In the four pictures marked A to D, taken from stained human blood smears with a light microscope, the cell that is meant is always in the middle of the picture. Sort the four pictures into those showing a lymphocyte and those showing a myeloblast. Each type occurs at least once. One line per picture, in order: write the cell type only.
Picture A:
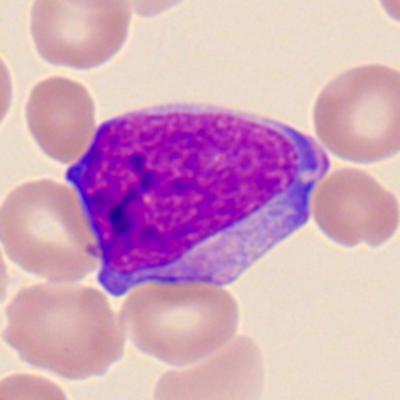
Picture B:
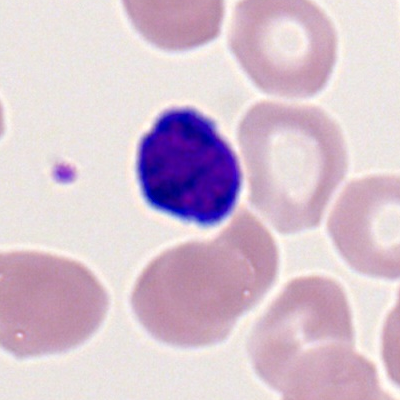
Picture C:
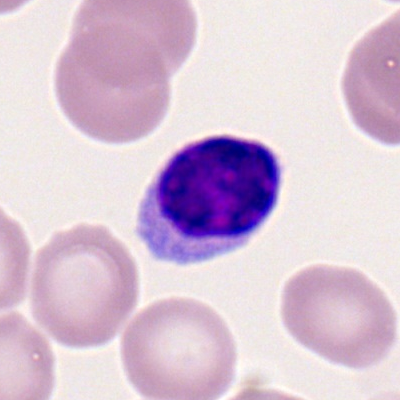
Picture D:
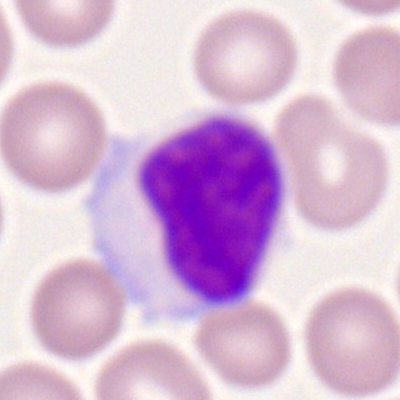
myeloblast
lymphocyte
lymphocyte
lymphocyte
